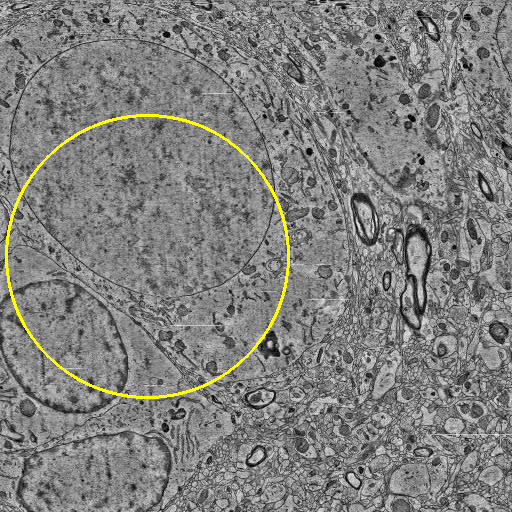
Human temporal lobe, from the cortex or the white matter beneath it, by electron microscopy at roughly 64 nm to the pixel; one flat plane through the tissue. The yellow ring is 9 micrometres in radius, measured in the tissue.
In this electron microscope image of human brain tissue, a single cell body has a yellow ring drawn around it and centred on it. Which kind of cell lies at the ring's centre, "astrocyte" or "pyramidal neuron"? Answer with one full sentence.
It is a pyramidal neuron whose cell body lies at the centre of the yellow ring here.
